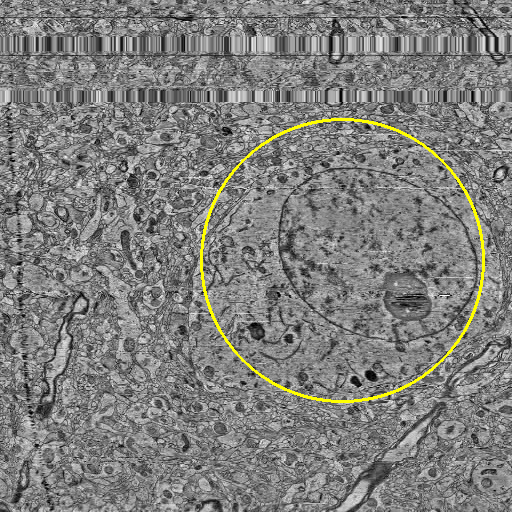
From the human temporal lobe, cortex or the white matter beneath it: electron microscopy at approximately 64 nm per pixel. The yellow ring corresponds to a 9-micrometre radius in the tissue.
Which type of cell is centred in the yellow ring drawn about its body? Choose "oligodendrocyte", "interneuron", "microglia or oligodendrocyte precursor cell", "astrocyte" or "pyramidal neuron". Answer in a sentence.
The yellow ring surrounds the cell body of a pyramidal neuron.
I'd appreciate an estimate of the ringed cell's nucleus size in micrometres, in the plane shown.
Roughly 13 by 11 micrometres is the size of the nucleus in this plane.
